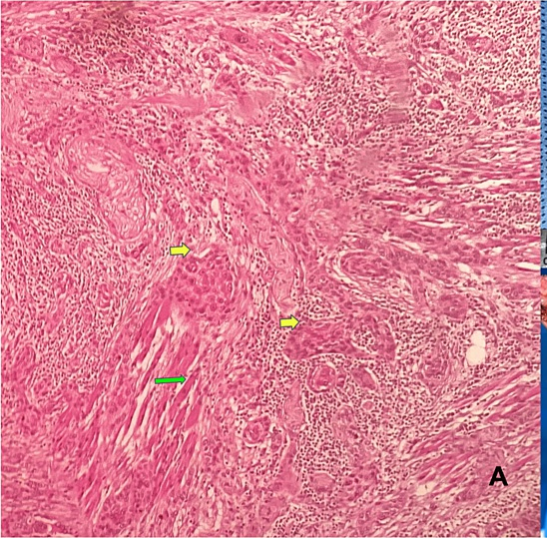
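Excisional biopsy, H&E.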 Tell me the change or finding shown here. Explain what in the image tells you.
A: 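Invasion into skeletal muscle. Nests of epithelial cells lie among and between bundles of pink muscle fibres.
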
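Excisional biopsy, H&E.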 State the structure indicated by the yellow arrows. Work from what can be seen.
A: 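Small compact nests of cells with pink cytoplasm and enlarged nuclei. The nests lie within stroma crowded with small dark nuclei.
Conclusion: malignant epithelial islands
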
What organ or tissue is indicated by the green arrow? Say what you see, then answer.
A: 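Elongated, deep pink fibres running in parallel bundles. The fibres are unlike the surrounding cellular stroma.
Answer: skeletal muscle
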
